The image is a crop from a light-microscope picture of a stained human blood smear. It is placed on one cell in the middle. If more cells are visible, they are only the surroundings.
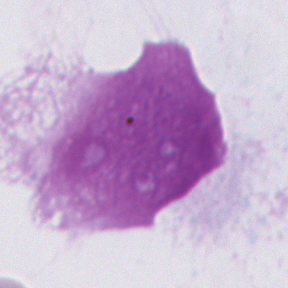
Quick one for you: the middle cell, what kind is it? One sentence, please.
The single cell at the center of the crop is a smudge cell.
